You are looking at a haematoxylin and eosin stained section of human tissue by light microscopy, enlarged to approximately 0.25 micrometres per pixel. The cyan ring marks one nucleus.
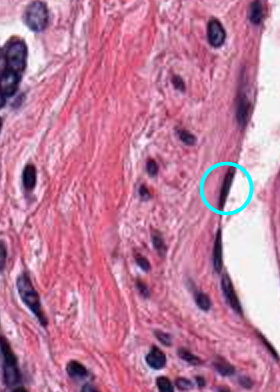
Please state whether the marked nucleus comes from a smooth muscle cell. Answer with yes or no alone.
no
